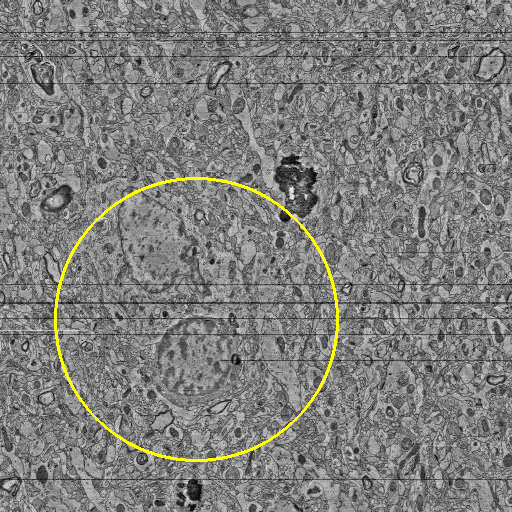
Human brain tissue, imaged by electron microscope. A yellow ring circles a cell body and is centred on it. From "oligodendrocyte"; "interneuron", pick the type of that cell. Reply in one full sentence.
The cell body at the centre of the yellow ring belongs to an oligodendrocyte.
